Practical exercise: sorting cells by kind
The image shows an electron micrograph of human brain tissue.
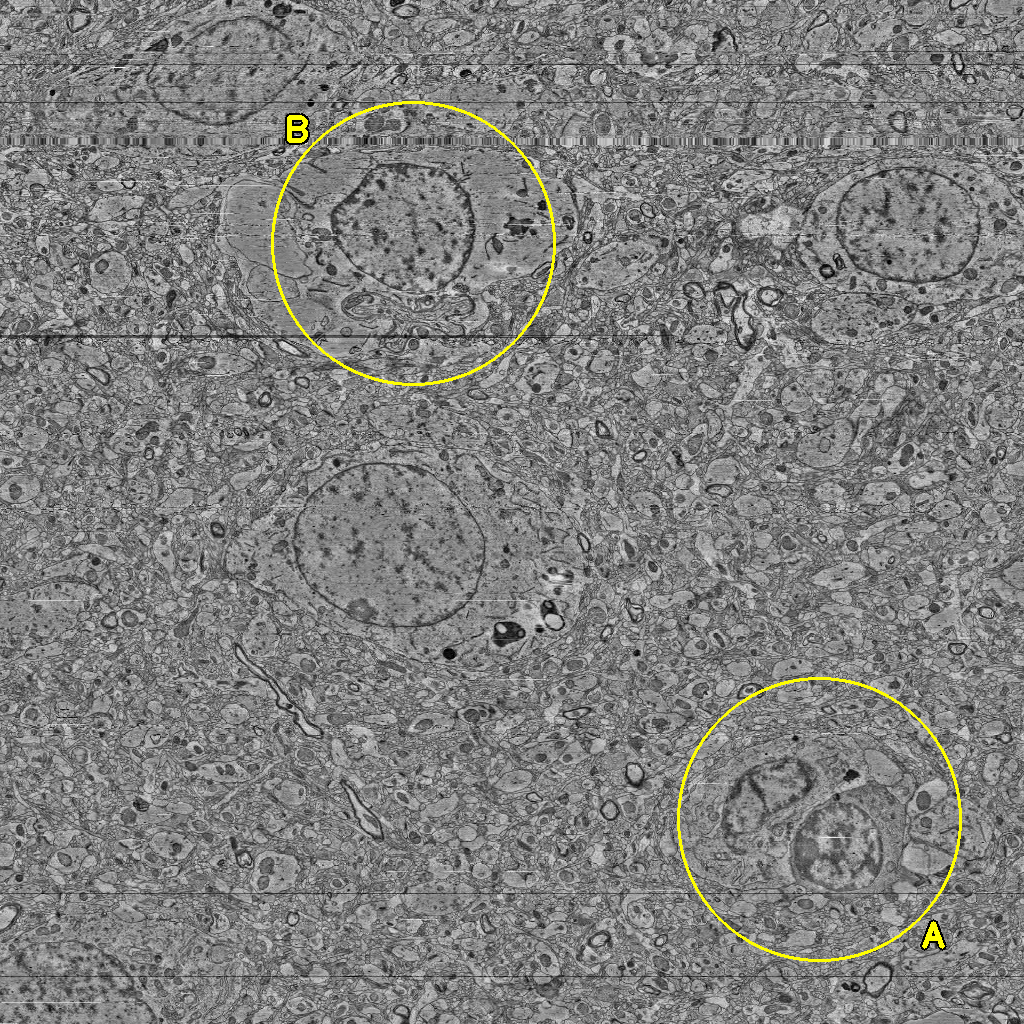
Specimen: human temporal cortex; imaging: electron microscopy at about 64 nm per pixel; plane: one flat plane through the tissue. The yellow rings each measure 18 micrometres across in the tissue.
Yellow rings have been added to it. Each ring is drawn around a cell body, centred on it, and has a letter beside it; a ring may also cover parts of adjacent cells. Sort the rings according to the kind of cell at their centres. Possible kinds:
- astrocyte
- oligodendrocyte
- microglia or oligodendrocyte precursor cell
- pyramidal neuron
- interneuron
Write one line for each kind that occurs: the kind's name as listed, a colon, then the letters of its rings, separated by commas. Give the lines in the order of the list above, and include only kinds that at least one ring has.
astrocyte: B
oligodendrocyte: A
